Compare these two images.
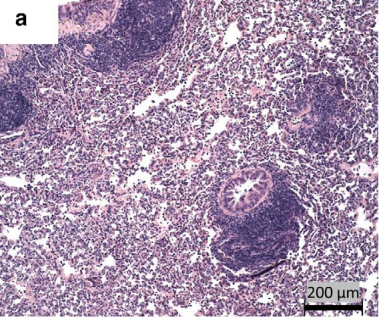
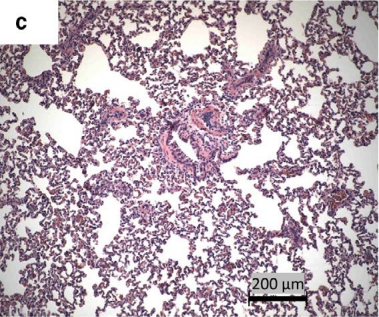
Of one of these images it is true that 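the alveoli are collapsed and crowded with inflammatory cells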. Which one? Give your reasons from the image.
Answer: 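The first image. Second image: open alveoli with thin septa across the field. First image: densely cellular parenchyma with few open airspaces and dark nodular cell aggregates.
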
